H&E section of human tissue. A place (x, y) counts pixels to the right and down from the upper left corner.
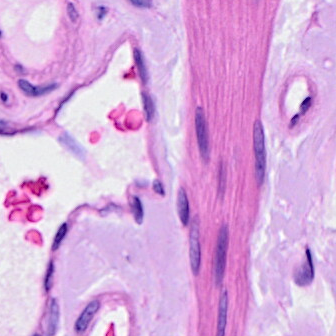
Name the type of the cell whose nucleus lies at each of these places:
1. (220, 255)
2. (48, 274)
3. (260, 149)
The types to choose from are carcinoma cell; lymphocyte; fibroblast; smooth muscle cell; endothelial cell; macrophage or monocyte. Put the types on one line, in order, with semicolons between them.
smooth muscle cell; endothelial cell; smooth muscle cell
